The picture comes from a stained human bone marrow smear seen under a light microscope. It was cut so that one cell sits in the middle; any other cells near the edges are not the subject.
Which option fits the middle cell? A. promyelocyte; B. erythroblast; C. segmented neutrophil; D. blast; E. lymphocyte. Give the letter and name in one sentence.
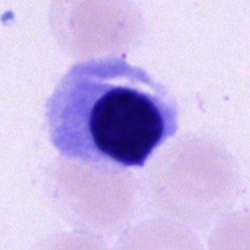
The one cell at the centre is an erythroblast, as correctly stated in option B.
